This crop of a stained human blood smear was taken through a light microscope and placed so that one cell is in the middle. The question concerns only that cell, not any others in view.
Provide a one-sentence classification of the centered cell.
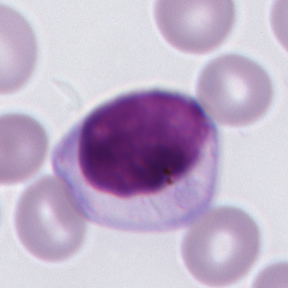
In the center of this field lies a large granular lymphocyte.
